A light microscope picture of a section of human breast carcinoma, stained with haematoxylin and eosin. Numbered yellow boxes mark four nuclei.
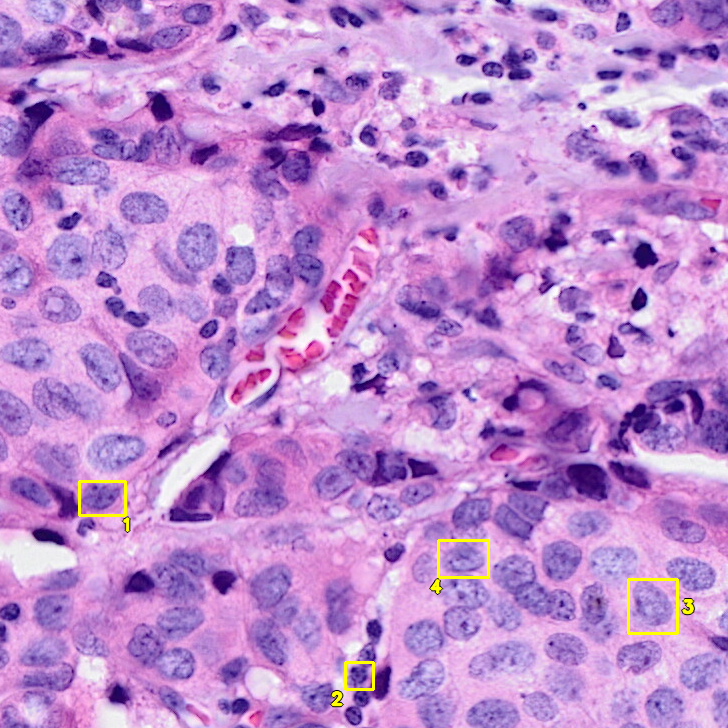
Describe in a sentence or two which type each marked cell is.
Cells 1, 3 and 4 are carcinoma cells. Cell 2 is a lymphocyte.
